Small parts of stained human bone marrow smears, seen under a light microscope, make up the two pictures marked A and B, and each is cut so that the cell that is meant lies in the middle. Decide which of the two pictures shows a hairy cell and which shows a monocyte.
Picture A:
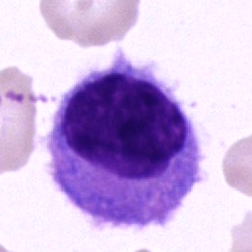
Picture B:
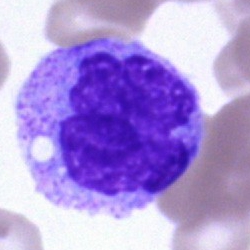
A: hairy cell
B: monocyte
